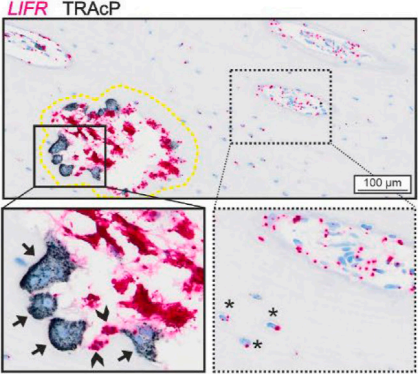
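This is cortical bone with intracortical canals, one of which is being resorbed by osteoclasts. Inside the irregular canal several large, rounded black-stained cells sit along the scalloped bone edge, some with multiple nuclei. Between and beside them lie smaller mononucleated cells covered by dense red dots, so that the canal lumen is largely filled with red staining. The surrounding bone matrix is pale and contains scattered small flattened osteocyte nuclei in lacunae, a few of them carrying red dots. A second, smaller canal nearby contains elongated cells with many red dots but no black cells.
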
